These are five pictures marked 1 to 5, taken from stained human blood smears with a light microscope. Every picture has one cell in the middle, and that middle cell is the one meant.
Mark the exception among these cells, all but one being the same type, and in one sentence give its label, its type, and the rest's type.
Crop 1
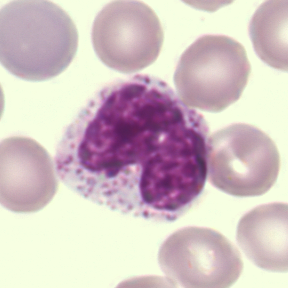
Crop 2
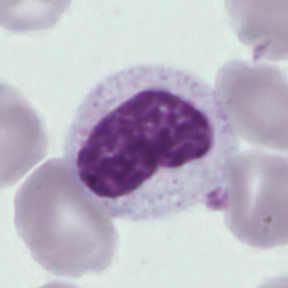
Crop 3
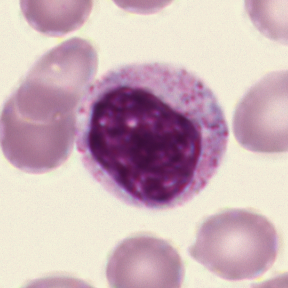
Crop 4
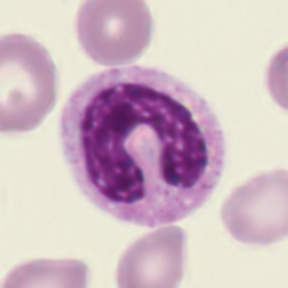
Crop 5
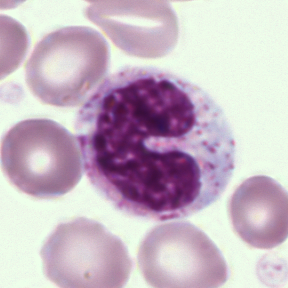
Crop 3 holds a metamyelocyte, unlike the remaining crops, all of which hold band neutrophils.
